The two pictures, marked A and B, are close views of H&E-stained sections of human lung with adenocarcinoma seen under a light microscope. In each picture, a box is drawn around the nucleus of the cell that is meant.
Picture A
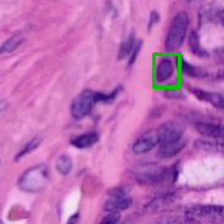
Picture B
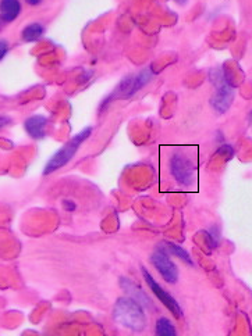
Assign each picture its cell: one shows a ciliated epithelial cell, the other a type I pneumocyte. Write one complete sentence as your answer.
Picture B shows a type I pneumocyte, while picture A shows a ciliated epithelial cell.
